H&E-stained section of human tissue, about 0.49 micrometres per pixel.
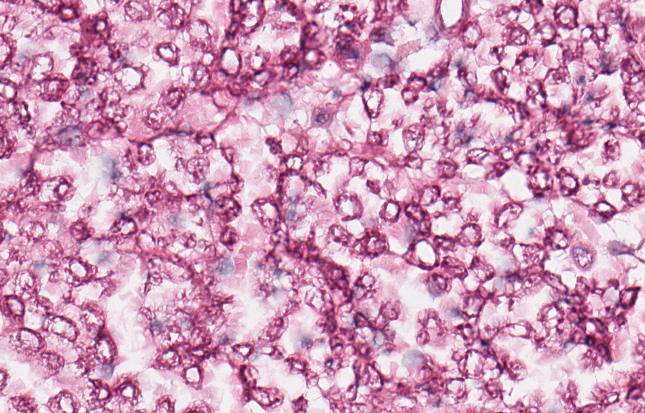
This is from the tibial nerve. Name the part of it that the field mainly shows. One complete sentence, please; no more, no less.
The part in view in this section is nerve fascicle.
